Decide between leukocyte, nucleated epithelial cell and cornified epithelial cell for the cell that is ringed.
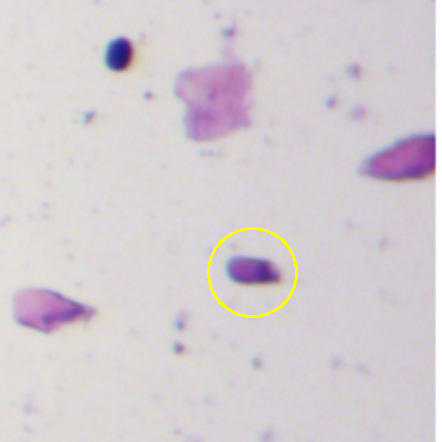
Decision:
I take the ringed cell for a nucleated epithelial cell.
